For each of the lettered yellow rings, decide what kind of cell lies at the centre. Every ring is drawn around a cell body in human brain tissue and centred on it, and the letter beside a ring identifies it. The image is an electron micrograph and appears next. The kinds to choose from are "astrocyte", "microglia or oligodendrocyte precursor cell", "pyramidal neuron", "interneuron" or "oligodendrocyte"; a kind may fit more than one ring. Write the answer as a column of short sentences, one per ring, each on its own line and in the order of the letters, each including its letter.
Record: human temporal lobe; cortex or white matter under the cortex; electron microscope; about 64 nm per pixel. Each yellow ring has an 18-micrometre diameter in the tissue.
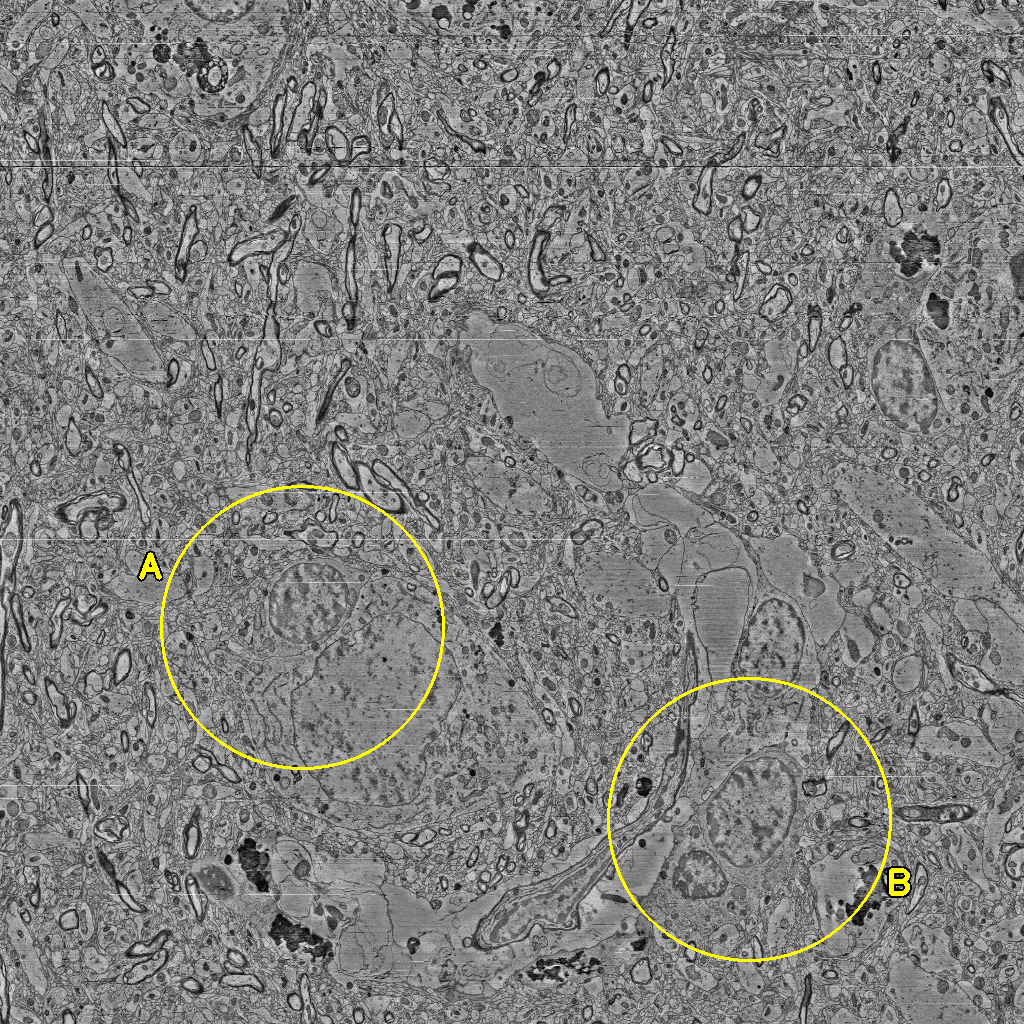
In the centre of ring A lies an oligodendrocyte.
In the centre of ring B lies an oligodendrocyte.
